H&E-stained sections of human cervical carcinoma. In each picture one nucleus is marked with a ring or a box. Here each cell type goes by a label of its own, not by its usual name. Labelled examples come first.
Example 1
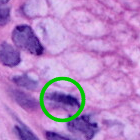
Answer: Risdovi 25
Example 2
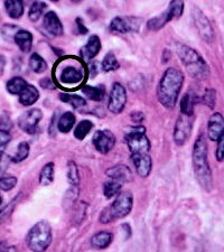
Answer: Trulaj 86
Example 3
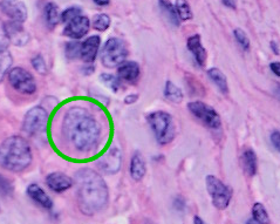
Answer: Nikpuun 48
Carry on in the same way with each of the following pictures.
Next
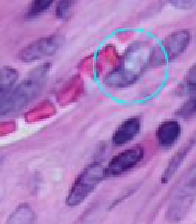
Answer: Nikpuun 48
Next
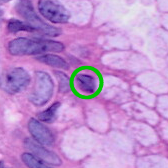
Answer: Risdovi 25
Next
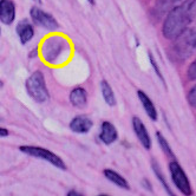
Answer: Nikpuun 48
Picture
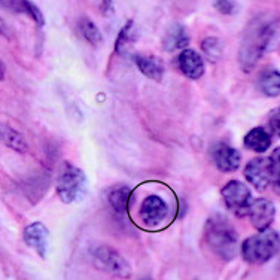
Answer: Trulaj 86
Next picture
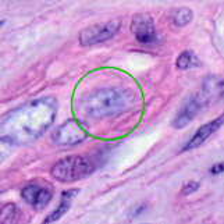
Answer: Nikpuun 48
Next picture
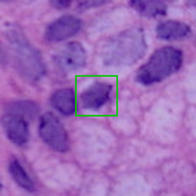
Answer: Risdovi 25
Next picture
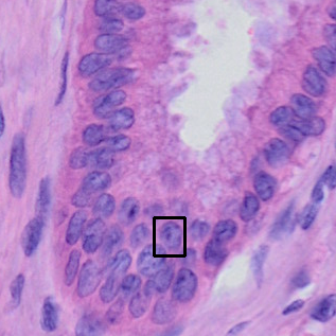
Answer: Risdovi 25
